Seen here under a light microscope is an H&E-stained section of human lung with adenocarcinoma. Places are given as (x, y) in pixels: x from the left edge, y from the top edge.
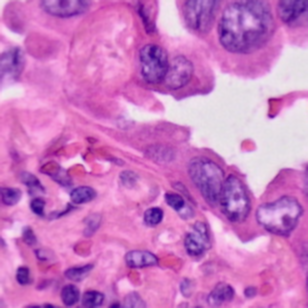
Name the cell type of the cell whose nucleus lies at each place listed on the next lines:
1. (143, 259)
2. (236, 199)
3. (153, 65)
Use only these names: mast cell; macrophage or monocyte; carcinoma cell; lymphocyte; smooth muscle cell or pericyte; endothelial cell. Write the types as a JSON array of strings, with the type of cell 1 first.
["endothelial cell", "carcinoma cell", "carcinoma cell"]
